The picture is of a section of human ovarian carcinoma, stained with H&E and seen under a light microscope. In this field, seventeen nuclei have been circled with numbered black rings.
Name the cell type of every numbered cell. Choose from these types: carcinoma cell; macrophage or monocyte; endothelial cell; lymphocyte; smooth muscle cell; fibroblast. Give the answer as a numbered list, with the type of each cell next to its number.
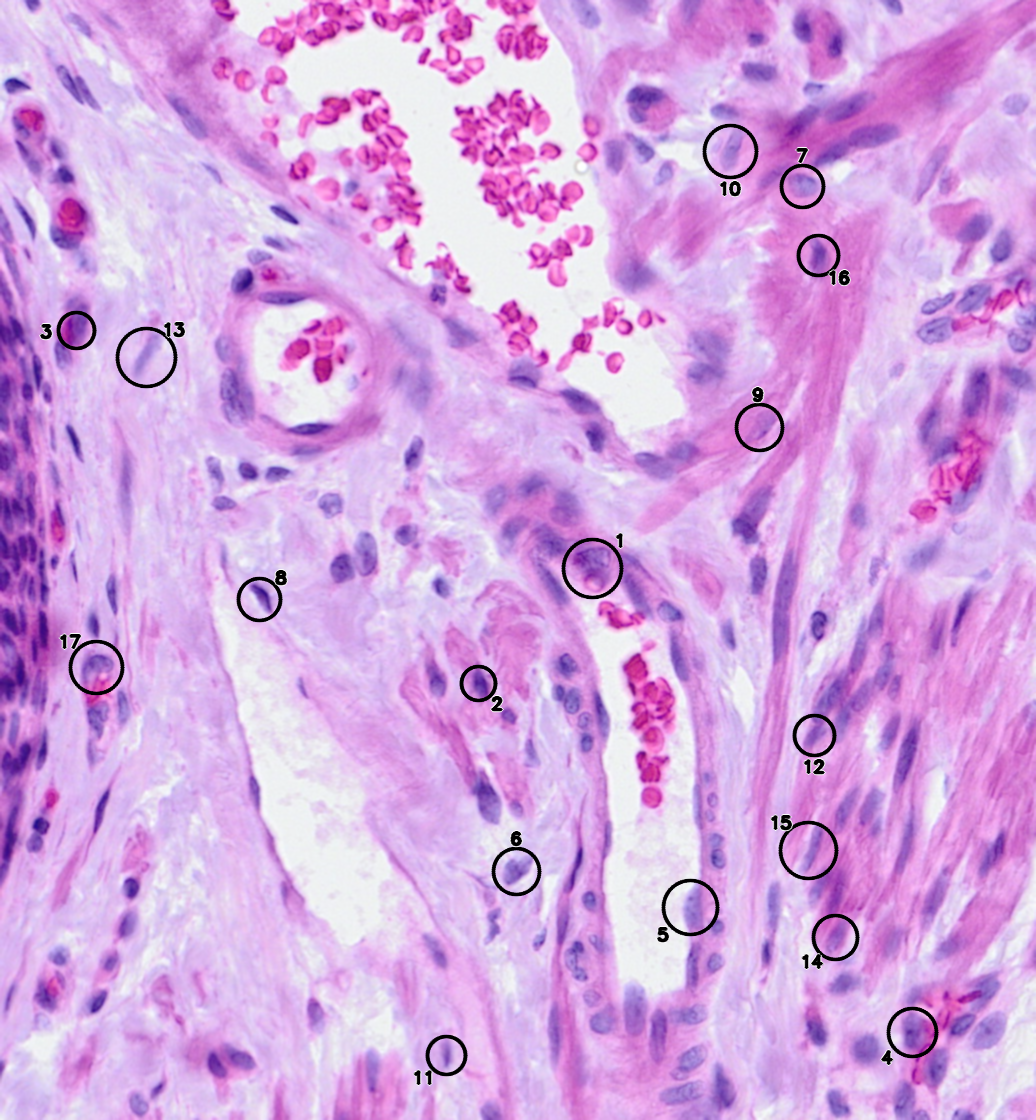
1. endothelial cell
2. smooth muscle cell
3. endothelial cell
4. endothelial cell
5. endothelial cell
6. fibroblast
7. smooth muscle cell
8. fibroblast
9. smooth muscle cell
10. smooth muscle cell
11. fibroblast
12. smooth muscle cell
13. fibroblast
14. smooth muscle cell
15. smooth muscle cell
16. smooth muscle cell
17. endothelial cell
